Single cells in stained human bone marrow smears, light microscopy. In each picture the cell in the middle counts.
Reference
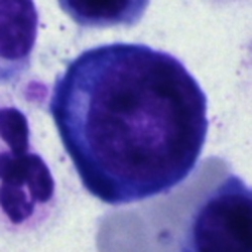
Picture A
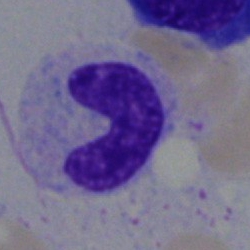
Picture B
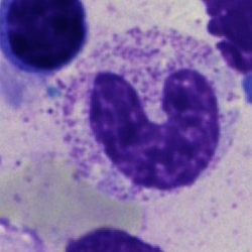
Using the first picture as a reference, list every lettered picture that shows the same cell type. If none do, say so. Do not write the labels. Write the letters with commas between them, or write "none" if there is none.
none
